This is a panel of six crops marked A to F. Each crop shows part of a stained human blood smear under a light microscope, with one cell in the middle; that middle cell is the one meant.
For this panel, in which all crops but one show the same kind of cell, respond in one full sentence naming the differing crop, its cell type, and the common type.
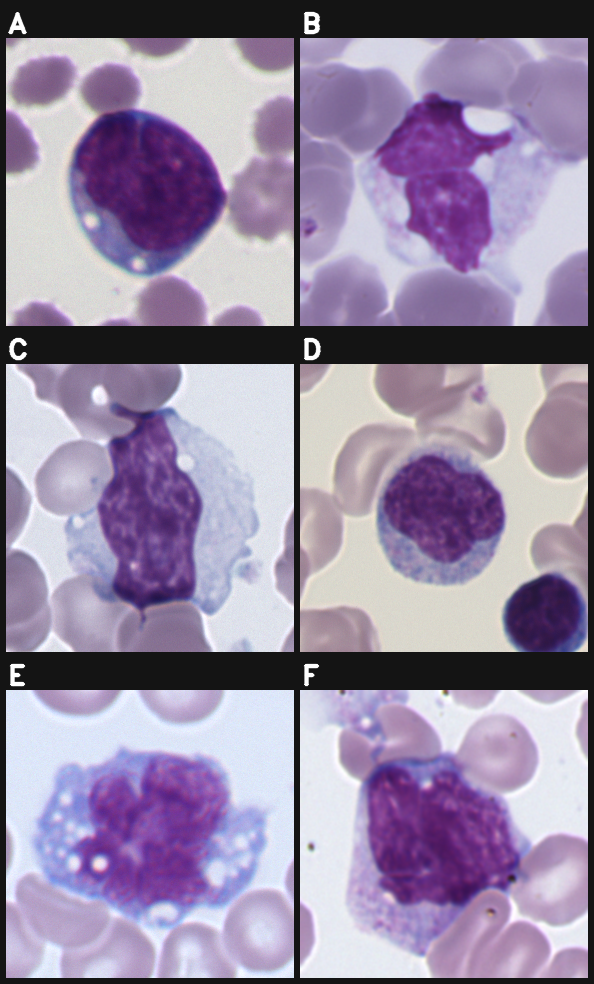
Among the crops, crop C is unique in showing a myeloblast; the others show monocytes.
